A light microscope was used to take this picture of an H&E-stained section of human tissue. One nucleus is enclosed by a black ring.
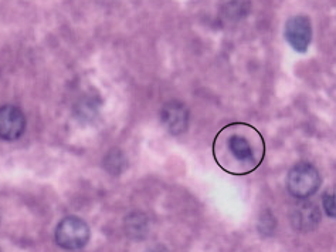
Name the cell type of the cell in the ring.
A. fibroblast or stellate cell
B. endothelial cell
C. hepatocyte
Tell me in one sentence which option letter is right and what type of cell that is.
The correct pick is option A; the cell in the ring is a fibroblast or stellate cell.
